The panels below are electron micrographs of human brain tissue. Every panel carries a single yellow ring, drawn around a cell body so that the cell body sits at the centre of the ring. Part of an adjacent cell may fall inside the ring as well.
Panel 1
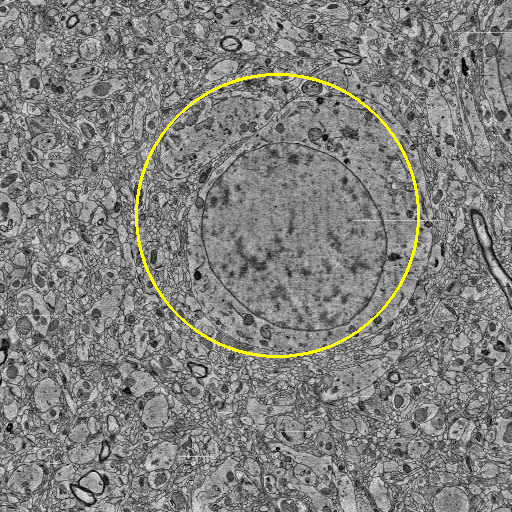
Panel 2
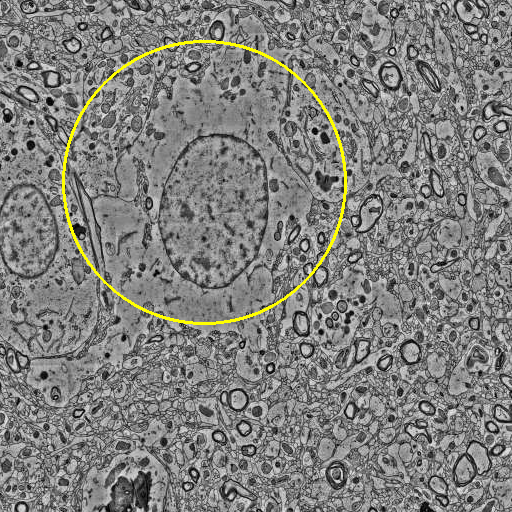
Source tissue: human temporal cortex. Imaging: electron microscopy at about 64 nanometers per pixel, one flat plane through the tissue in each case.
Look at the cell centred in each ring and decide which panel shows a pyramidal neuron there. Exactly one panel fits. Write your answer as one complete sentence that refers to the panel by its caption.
Panel 1 has it at the centre of its ring.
